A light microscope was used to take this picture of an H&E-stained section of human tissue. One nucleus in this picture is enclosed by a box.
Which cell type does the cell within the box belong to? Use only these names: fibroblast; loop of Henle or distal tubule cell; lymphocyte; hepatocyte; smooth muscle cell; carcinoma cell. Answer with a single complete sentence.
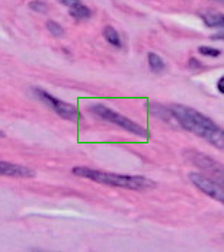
The identity of the cell within the box: it is a smooth muscle cell.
